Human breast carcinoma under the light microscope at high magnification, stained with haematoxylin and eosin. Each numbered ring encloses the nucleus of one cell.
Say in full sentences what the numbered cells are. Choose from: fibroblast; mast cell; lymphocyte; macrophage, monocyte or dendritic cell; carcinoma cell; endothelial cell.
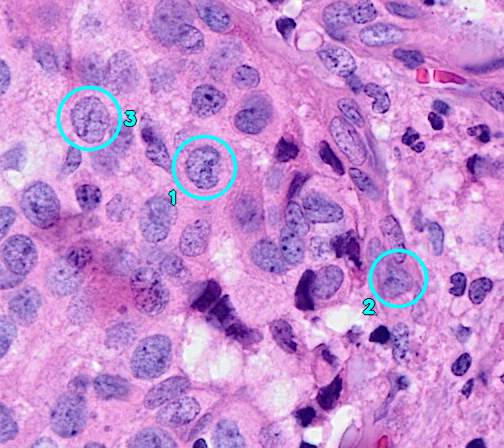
Cell 1 is a carcinoma cell, cell 2 is an endothelial cell and cell 3 is a carcinoma cell.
